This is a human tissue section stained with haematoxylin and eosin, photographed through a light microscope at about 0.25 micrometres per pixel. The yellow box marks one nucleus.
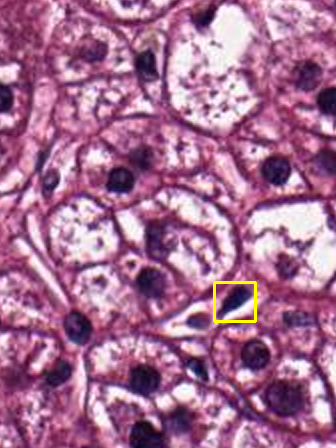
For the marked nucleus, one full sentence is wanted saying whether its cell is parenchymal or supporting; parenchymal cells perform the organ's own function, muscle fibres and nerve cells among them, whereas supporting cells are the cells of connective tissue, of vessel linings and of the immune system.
The marked nucleus is classified as belonging to a supporting cell.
